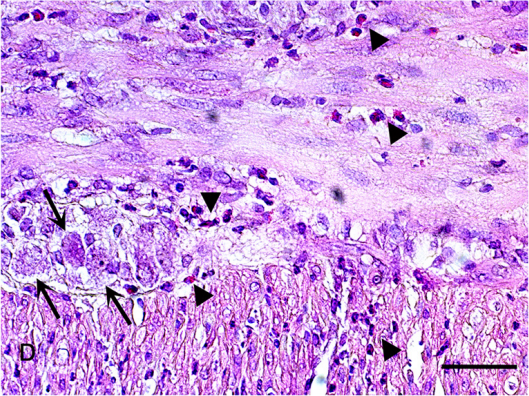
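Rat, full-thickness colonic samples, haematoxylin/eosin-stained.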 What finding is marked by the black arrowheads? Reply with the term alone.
eosinophilic infiltrations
